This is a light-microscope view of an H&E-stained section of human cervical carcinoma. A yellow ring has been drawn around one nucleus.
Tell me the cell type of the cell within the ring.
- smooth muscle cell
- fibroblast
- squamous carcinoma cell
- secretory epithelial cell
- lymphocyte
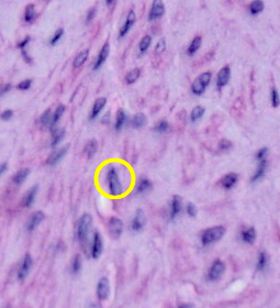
smooth muscle cell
